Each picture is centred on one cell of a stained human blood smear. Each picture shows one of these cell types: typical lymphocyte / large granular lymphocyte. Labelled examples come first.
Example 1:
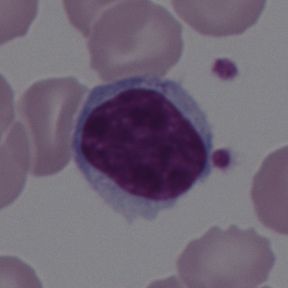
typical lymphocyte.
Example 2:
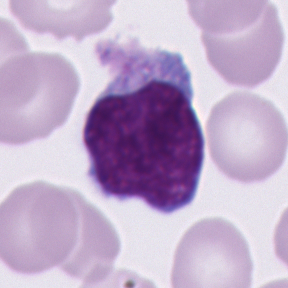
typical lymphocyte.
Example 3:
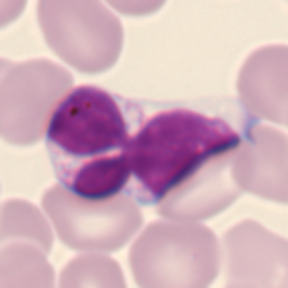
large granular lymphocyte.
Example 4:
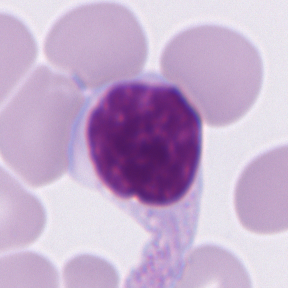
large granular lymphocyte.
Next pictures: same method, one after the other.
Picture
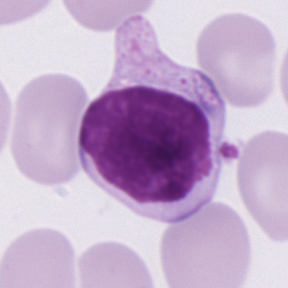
large granular lymphocyte.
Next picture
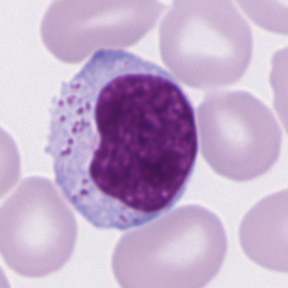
large granular lymphocyte.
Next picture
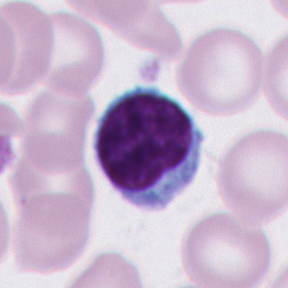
typical lymphocyte.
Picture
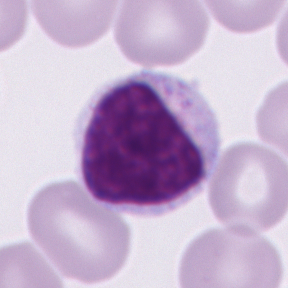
large granular lymphocyte.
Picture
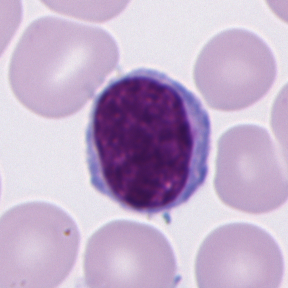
typical lymphocyte.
